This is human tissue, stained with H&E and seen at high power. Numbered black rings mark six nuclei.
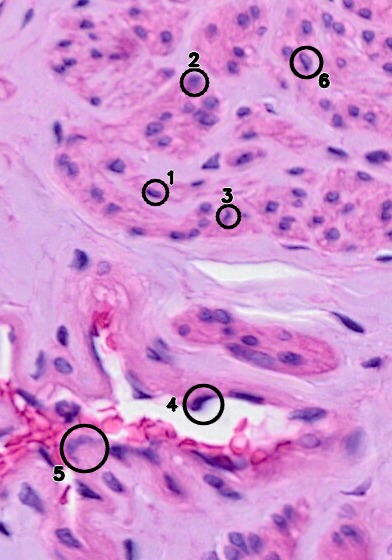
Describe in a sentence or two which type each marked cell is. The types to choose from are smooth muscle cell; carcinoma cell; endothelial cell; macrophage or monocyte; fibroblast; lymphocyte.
Cell 1 is a smooth muscle cell, cell 2 is a smooth muscle cell, cell 3 is a smooth muscle cell, cell 4 is an endothelial cell, cell 5 is an endothelial cell and cell 6 is a smooth muscle cell.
